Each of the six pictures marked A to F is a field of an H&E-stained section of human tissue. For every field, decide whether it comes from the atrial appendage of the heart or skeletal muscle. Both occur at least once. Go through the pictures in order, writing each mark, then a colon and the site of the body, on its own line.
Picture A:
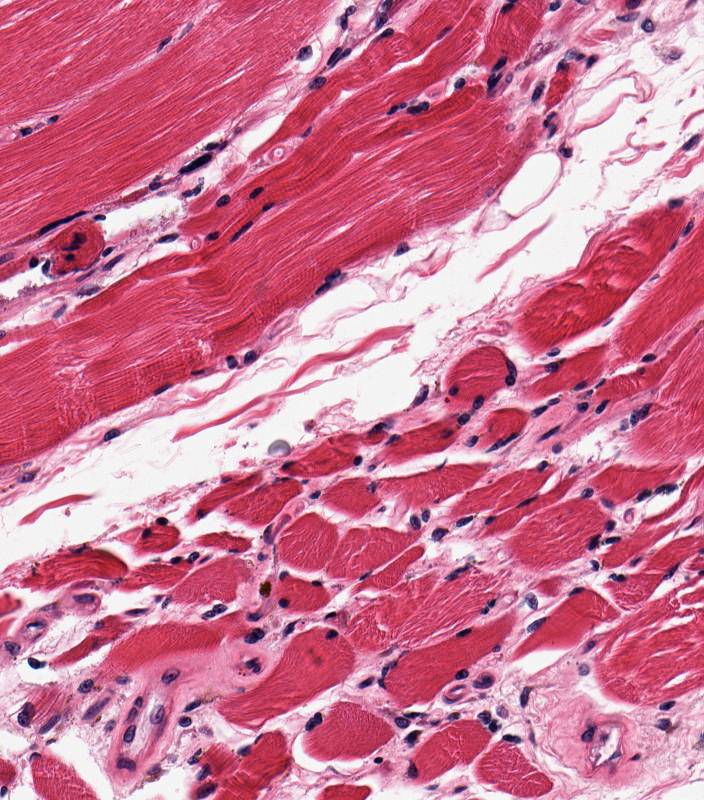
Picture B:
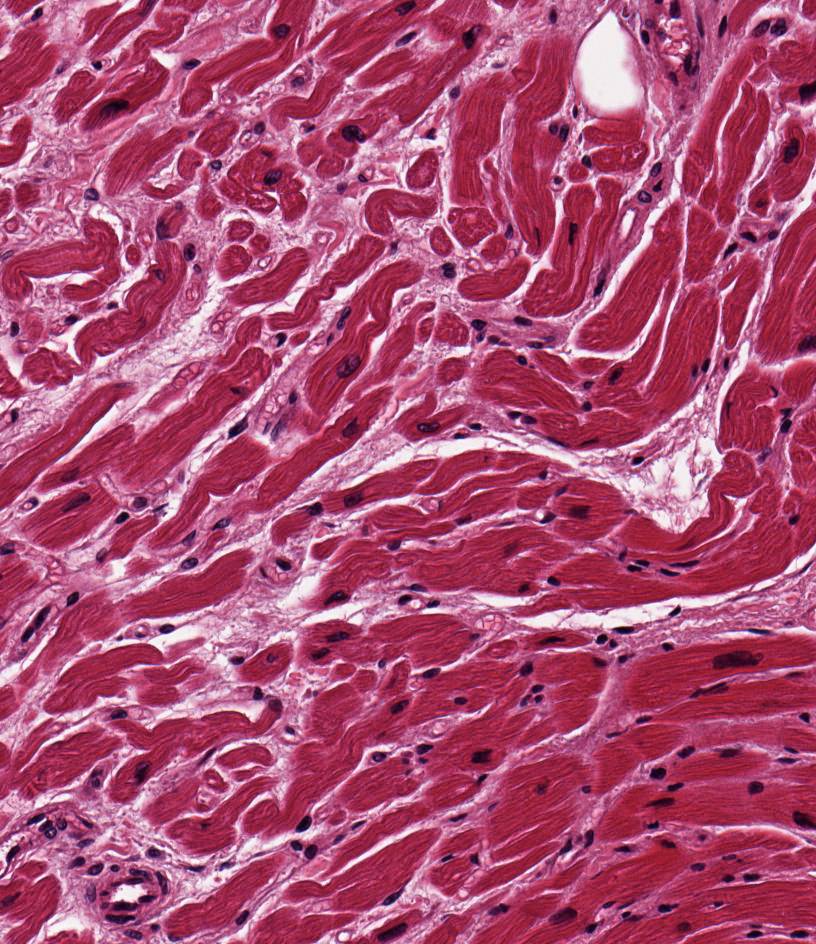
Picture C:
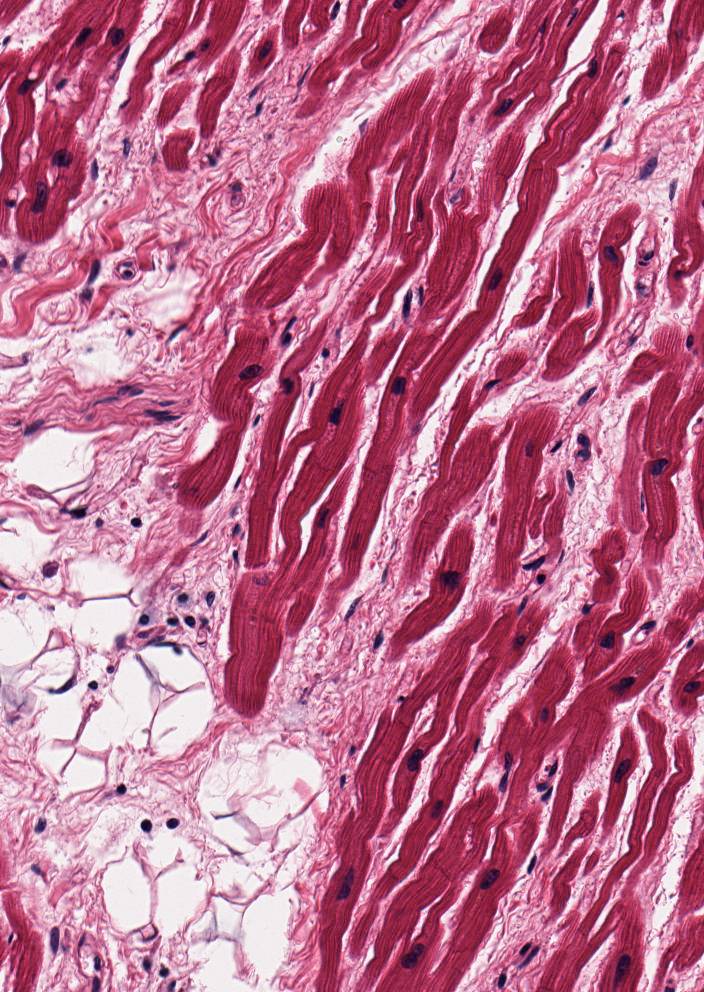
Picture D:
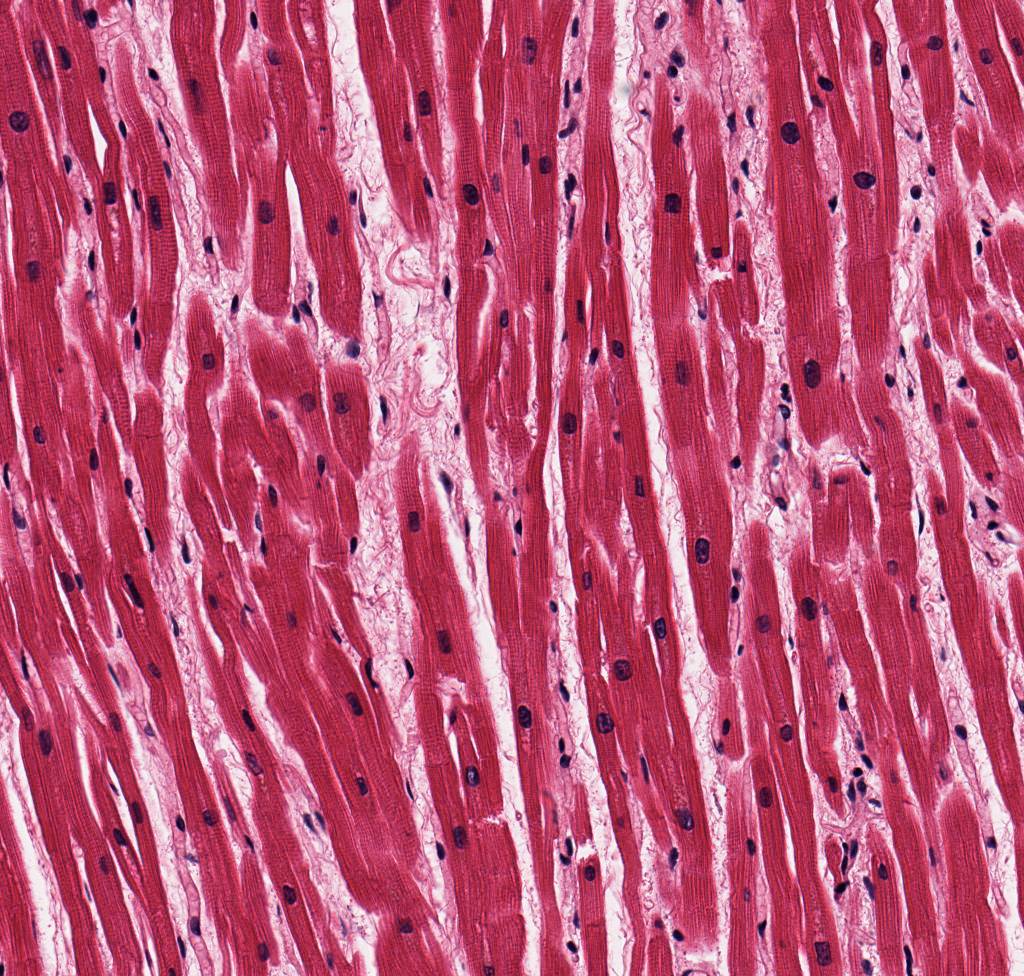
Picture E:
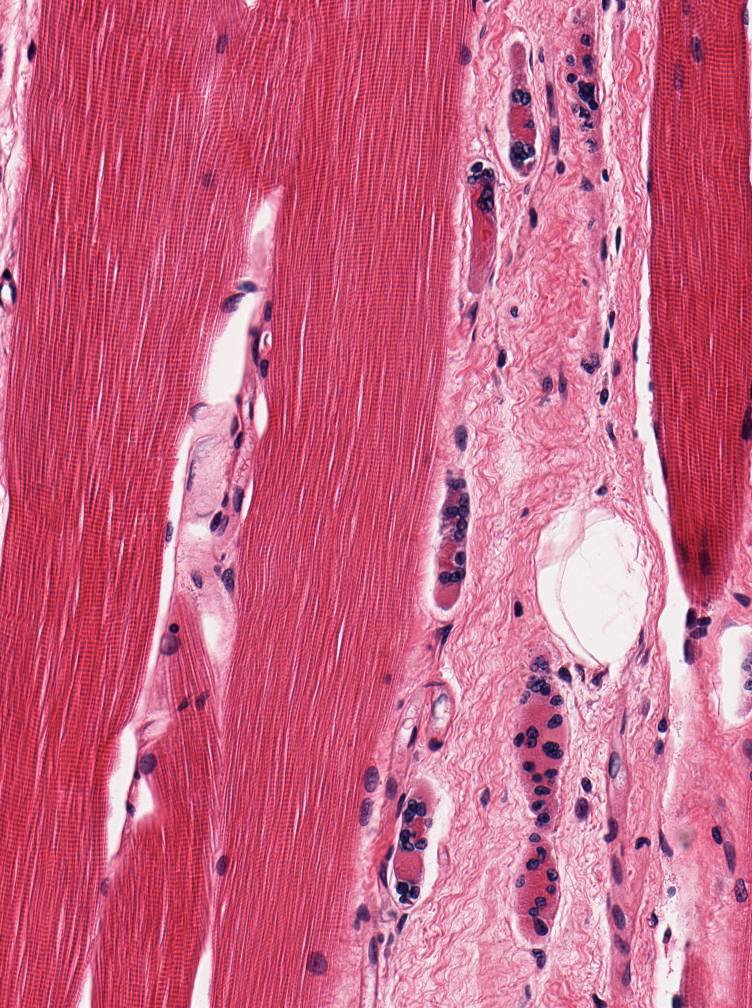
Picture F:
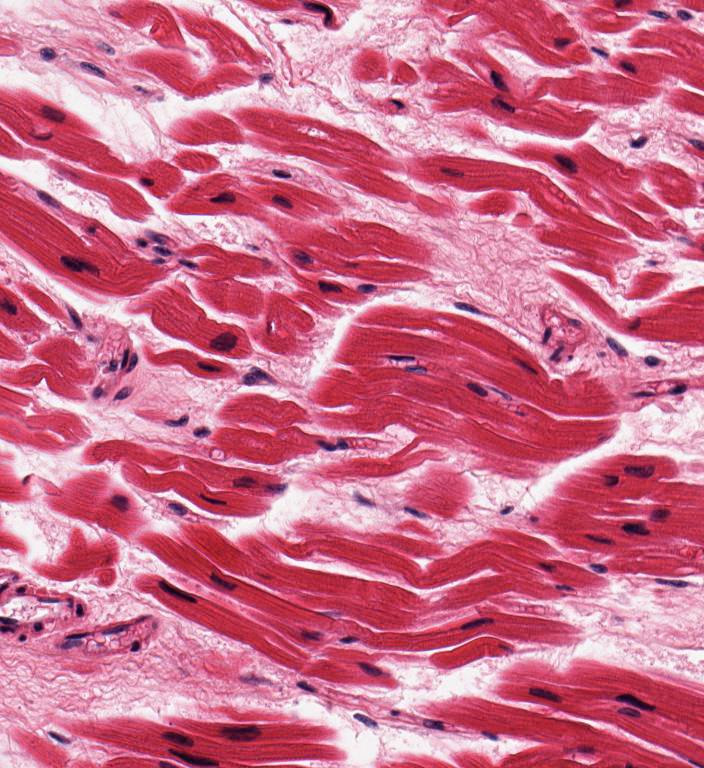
A: skeletal muscle
B: atrial appendage of the heart
C: atrial appendage of the heart
D: atrial appendage of the heart
E: skeletal muscle
F: atrial appendage of the heart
